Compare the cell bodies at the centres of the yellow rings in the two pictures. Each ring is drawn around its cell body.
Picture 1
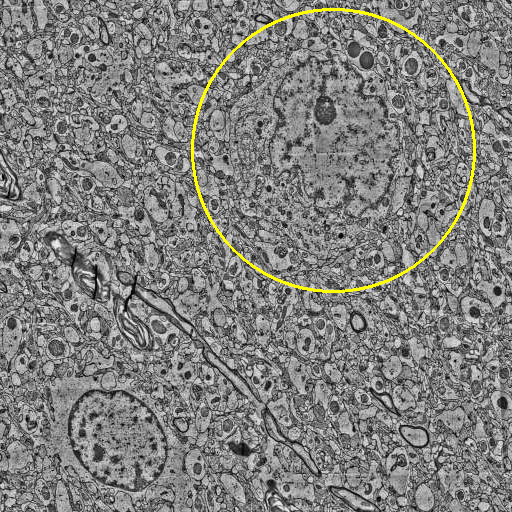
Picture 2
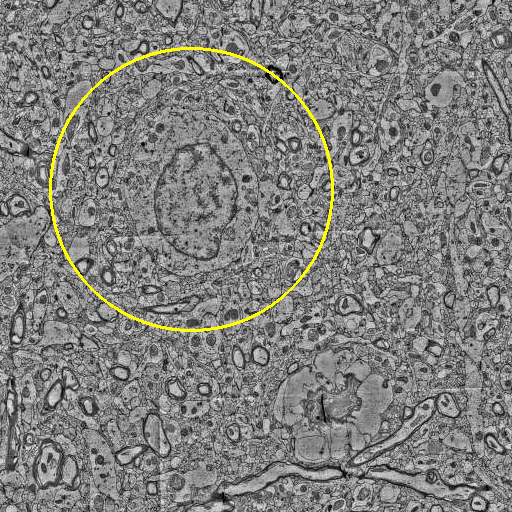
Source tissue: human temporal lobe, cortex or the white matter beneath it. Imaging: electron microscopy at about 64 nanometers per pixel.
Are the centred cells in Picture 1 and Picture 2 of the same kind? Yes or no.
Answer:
yes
